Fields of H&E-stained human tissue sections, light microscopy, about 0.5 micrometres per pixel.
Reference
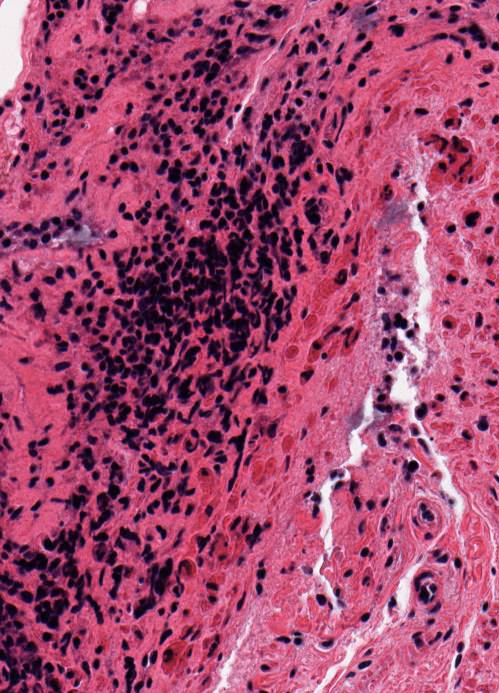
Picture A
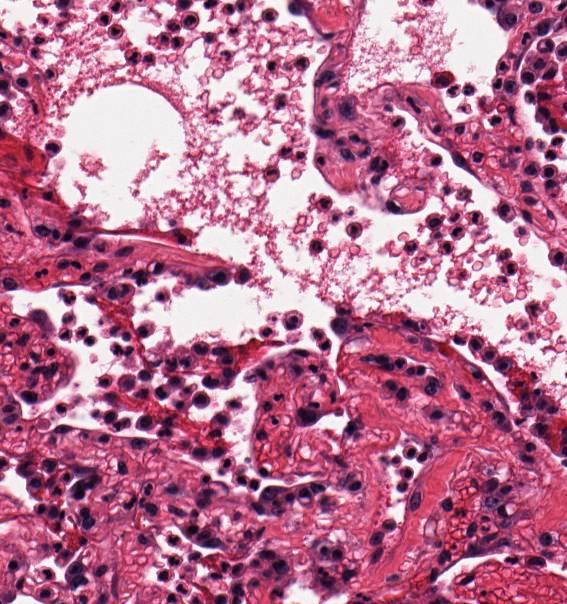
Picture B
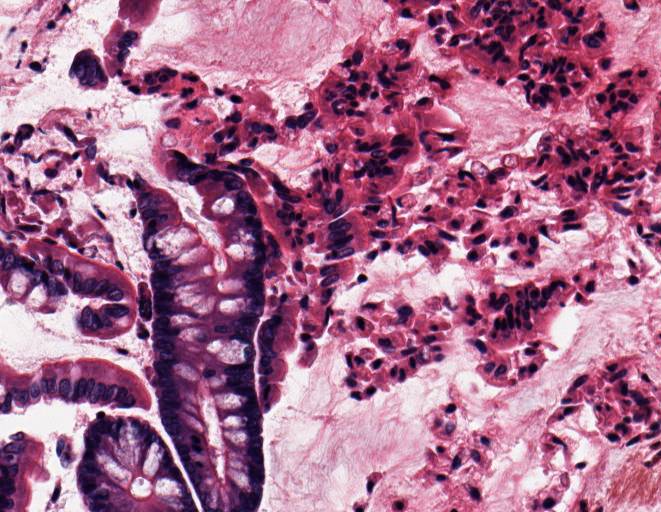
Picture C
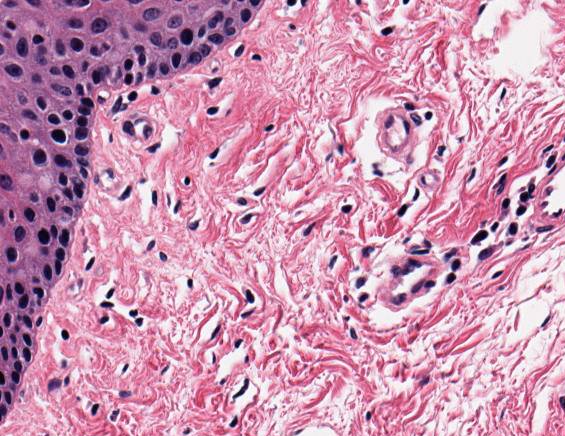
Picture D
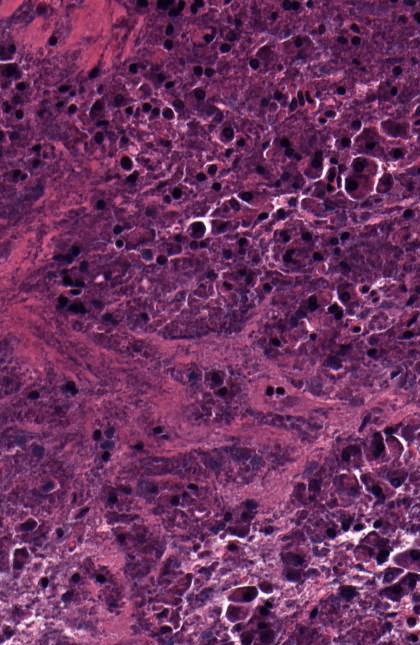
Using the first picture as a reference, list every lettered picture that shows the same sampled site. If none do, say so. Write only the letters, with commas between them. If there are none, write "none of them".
B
